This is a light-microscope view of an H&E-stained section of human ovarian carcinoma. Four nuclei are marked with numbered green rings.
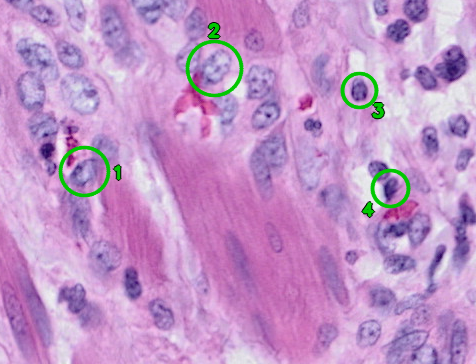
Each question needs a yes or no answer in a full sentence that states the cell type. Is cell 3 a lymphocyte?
Yes, what number 3 marks is a lymphocyte.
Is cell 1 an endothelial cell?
Yes, that one, number 1, is an endothelial cell.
